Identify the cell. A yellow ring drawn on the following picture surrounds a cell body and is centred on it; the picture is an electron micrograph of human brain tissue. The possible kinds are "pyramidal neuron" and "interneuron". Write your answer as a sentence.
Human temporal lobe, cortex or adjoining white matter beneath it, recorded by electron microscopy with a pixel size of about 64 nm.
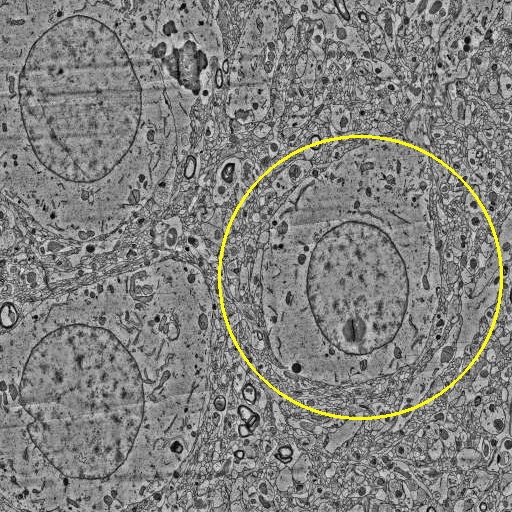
The cell identified by the ring is a pyramidal neuron.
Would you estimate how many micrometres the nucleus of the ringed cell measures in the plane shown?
The ringed cell's nucleus measures approximately 9 by 6 micrometres in this plane.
